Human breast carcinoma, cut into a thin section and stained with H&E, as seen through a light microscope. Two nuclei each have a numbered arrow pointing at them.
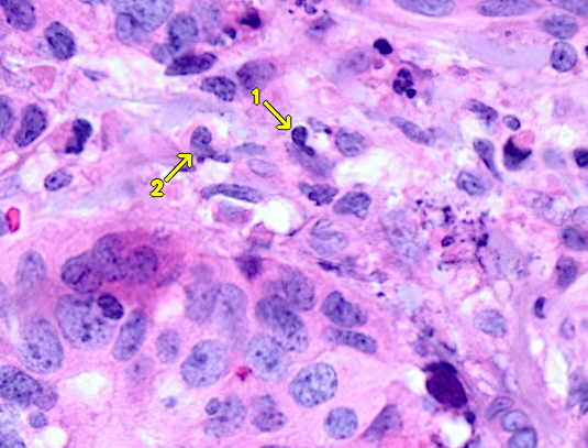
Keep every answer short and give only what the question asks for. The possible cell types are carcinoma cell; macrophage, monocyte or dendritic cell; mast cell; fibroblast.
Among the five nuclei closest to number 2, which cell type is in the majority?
macrophage, monocyte or dendritic cell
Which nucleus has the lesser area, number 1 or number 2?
1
